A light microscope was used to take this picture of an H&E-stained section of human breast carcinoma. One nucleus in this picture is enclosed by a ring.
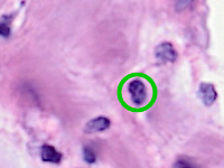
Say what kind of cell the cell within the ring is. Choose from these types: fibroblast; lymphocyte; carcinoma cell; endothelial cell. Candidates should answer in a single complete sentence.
Assigned to a cell type, the cell within the ring is a lymphocyte.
